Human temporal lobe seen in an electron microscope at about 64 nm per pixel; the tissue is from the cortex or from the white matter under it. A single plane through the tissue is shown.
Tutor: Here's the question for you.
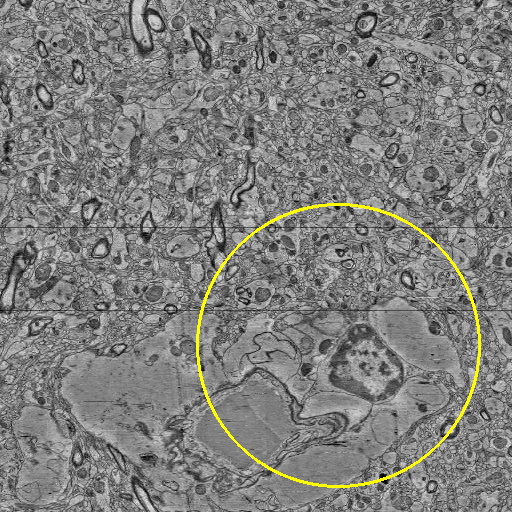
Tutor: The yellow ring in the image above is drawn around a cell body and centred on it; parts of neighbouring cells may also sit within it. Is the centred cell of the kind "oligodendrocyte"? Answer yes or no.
no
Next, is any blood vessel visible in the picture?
Yes, one is visible.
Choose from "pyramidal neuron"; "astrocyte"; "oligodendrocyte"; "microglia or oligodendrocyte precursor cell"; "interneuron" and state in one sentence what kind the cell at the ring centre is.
Instead, the ringed cell here is a microglial cell or oligodendrocyte precursor cell.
